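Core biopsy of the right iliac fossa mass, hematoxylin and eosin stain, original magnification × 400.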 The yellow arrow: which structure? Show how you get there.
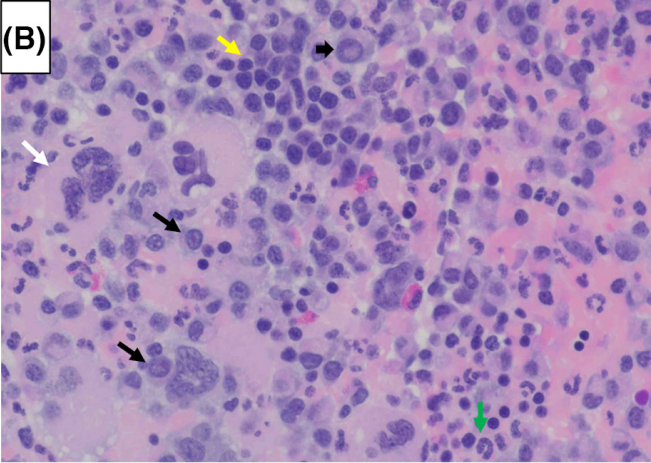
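A tight cluster of small cells with round, dark, dense nuclei. The cells sit packed together as a group. The answer: erythroid island.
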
